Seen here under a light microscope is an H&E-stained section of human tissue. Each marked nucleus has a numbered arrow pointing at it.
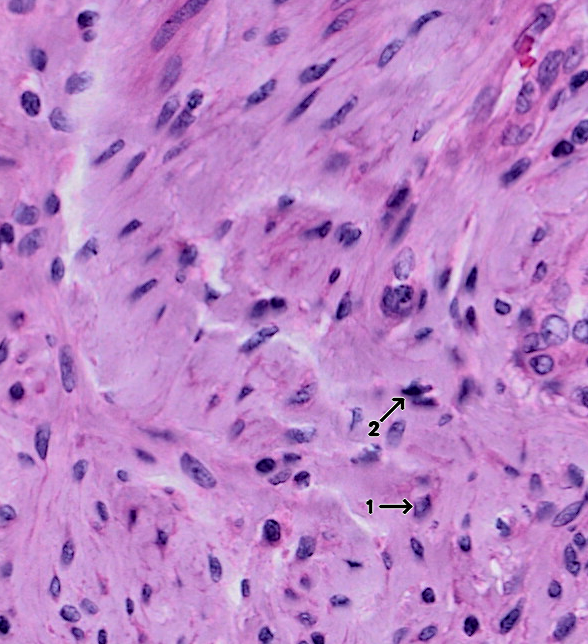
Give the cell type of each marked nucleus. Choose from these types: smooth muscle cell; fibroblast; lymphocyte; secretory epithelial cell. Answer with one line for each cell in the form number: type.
1: smooth muscle cell
2: lymphocyte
